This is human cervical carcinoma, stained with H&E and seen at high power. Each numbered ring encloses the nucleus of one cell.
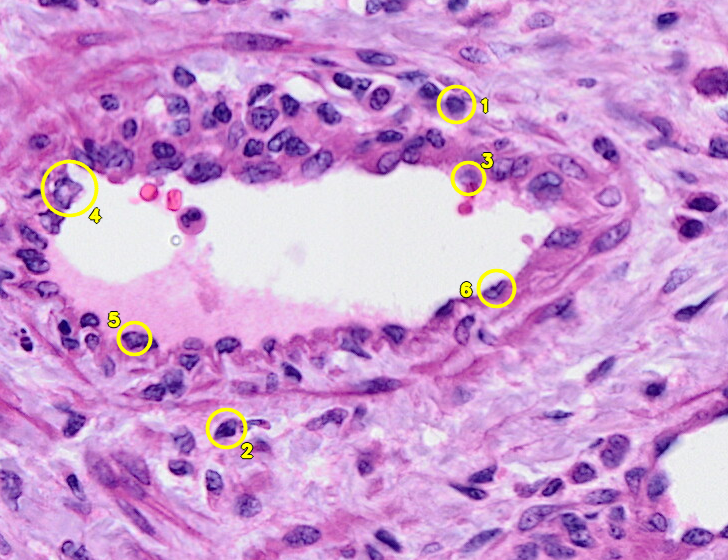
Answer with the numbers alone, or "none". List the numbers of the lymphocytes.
1, 2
